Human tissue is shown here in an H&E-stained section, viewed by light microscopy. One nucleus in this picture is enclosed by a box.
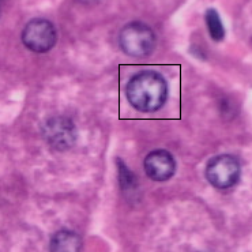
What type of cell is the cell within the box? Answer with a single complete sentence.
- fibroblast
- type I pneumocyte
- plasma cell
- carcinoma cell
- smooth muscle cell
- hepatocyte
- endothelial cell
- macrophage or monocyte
Assigned to a cell type, the cell within the box is a hepatocyte.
